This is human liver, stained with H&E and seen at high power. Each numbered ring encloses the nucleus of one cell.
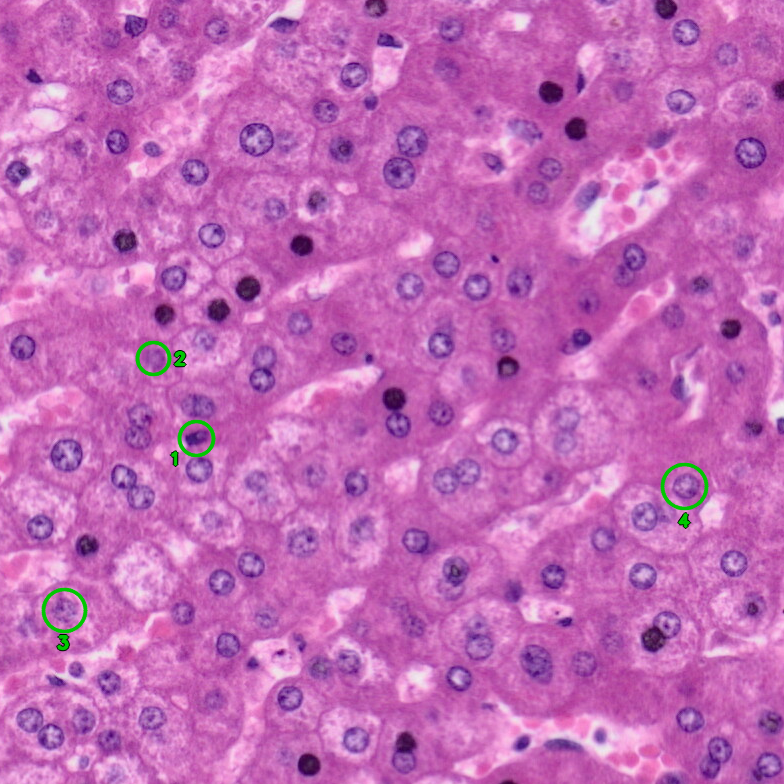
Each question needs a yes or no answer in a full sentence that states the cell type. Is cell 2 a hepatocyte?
Yes, it is a hepatocyte that carries the number 2.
